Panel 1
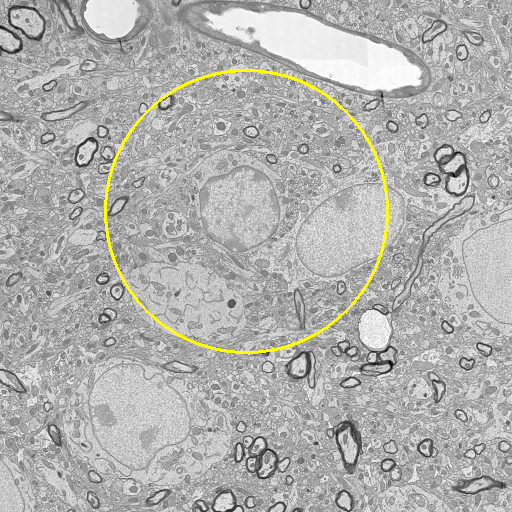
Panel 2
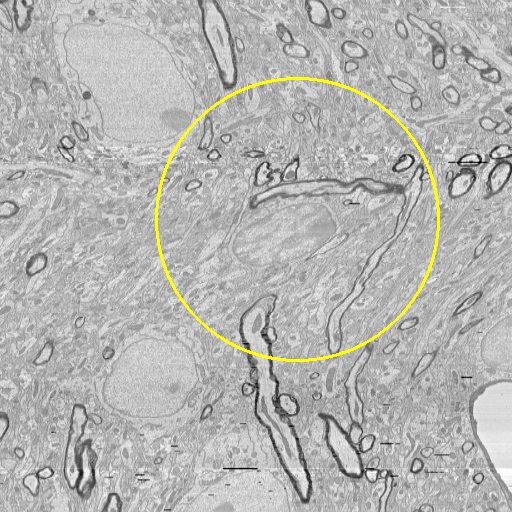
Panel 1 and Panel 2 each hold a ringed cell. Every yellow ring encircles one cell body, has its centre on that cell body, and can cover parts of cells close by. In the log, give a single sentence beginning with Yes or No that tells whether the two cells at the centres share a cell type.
Yes, in Panel 1 and Panel 2 the centred cells share a cell type.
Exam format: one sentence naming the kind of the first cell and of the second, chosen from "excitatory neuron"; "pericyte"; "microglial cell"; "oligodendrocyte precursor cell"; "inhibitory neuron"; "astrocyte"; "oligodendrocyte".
In each of the two pictures, the ringed cell is an oligodendrocyte.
